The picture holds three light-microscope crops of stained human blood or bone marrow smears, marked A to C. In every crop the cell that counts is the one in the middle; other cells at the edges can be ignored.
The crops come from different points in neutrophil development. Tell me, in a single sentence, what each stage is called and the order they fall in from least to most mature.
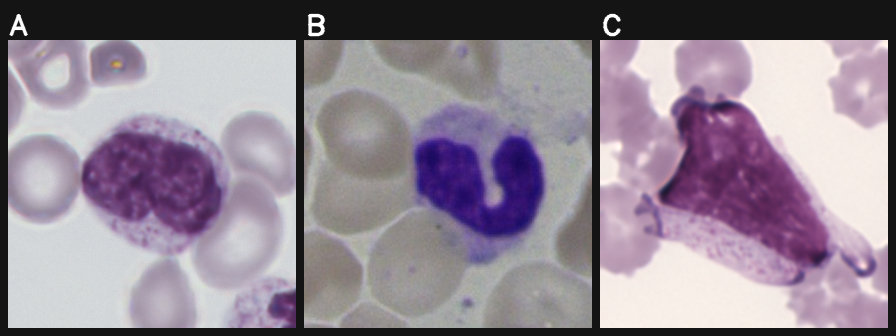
Ordered from the youngest stage to the most mature, the crops are crop C (a myelocyte), crop A (a metamyelocyte) and crop B (a band neutrophil).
